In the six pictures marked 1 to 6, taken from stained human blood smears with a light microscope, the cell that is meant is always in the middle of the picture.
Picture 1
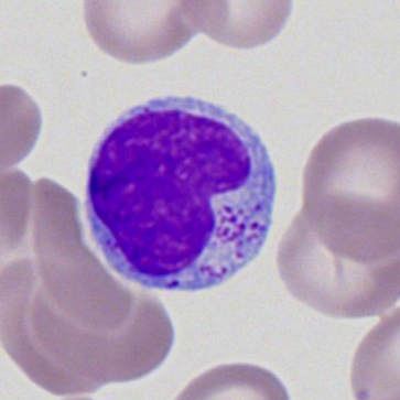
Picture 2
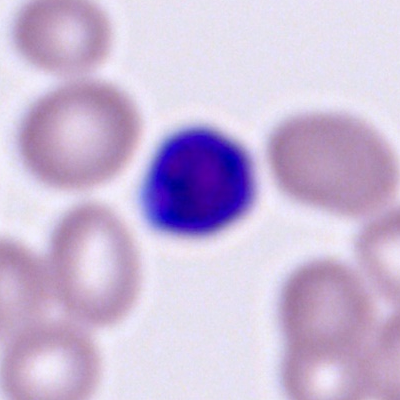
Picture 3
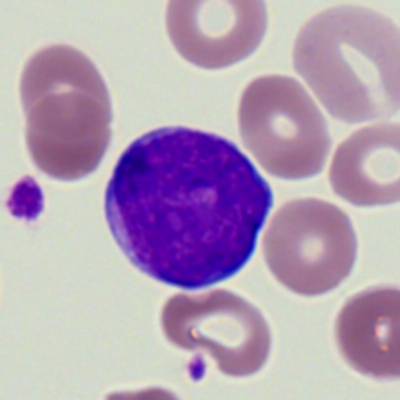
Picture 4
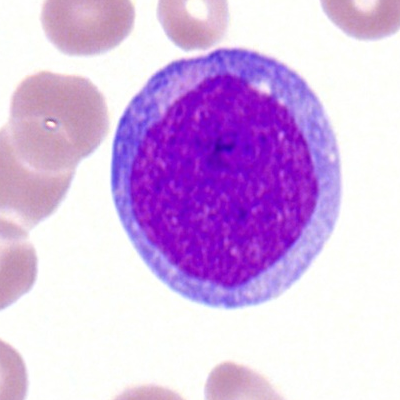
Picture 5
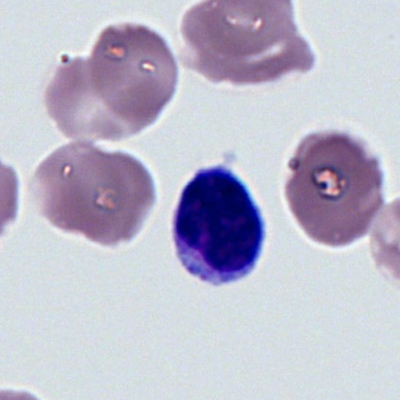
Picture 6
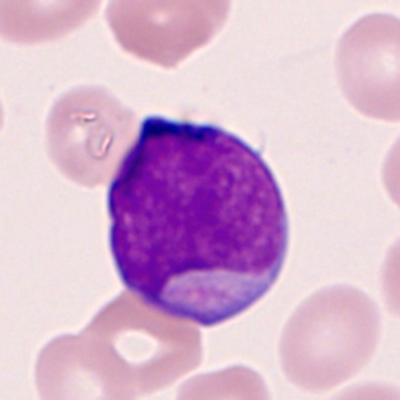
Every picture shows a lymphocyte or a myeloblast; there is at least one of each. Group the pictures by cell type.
1: lymphocyte
2: lymphocyte
3: myeloblast
4: myeloblast
5: lymphocyte
6: myeloblast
